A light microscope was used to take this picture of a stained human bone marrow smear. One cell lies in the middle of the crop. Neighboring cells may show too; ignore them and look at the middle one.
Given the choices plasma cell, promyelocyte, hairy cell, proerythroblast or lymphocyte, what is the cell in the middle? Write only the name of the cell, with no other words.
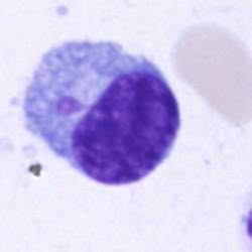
plasma cell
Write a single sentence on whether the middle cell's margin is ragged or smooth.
The outline of this cell is not smooth but ragged or drawn out into projections.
